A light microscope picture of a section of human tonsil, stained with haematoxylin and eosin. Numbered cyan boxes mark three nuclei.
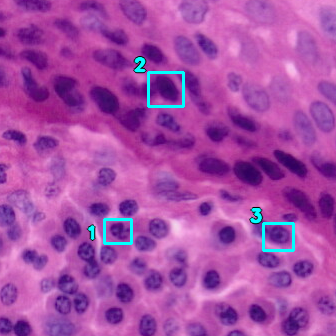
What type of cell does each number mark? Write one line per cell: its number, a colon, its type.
1: plasma cell
2: squamous epithelial cell
3: plasma cell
